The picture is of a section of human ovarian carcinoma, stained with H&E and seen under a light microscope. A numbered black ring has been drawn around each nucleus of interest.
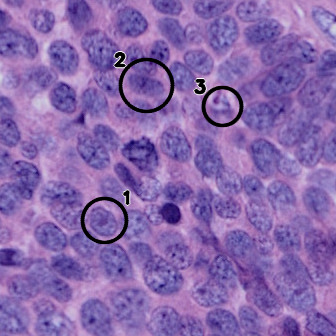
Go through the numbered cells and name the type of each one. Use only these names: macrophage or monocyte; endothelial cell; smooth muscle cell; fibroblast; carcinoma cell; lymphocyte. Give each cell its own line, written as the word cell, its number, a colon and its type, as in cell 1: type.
cell 1: carcinoma cell
cell 2: carcinoma cell
cell 3: macrophage or monocyte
